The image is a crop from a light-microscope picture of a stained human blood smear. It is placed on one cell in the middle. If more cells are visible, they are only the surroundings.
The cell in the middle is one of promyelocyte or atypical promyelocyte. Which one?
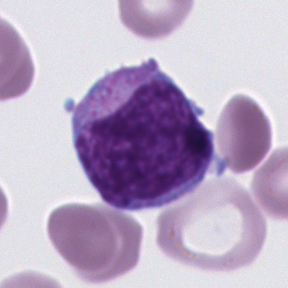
atypical promyelocyte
